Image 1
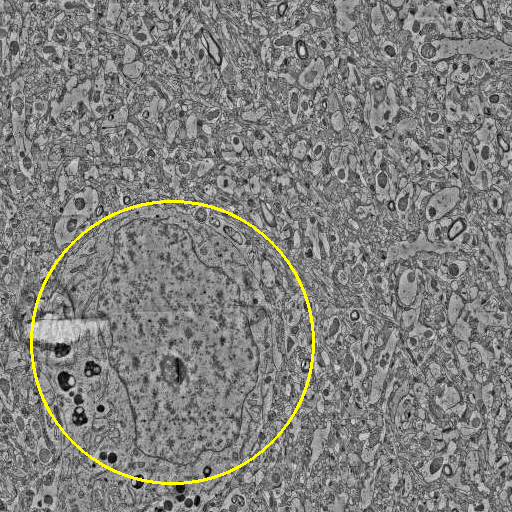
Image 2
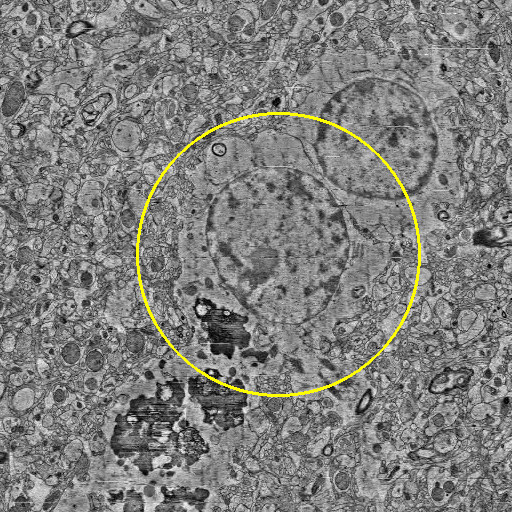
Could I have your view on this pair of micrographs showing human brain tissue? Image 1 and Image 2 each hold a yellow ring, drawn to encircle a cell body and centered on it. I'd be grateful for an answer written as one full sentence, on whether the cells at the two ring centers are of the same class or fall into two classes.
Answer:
The cells at the centers of the two rings fall into two classes.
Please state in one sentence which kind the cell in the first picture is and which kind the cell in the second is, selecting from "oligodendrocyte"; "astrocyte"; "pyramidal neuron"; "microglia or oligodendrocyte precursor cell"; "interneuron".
The first ringed cell is an interneuron, the second ringed cell an astrocyte.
